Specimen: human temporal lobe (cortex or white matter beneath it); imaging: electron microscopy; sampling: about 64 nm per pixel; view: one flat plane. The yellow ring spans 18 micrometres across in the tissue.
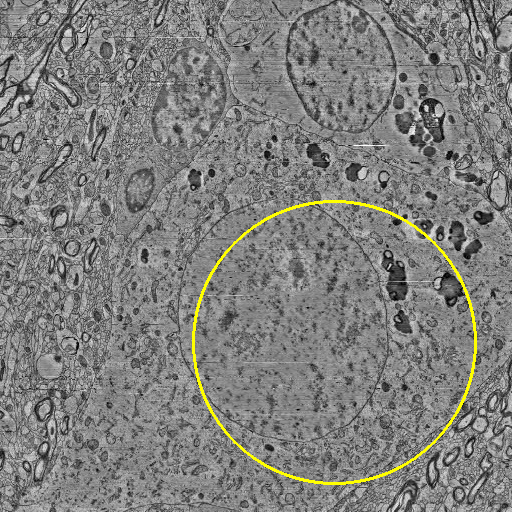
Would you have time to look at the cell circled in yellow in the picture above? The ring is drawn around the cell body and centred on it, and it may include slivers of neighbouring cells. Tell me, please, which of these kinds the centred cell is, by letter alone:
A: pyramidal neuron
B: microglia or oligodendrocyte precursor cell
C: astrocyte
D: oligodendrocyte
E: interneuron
A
